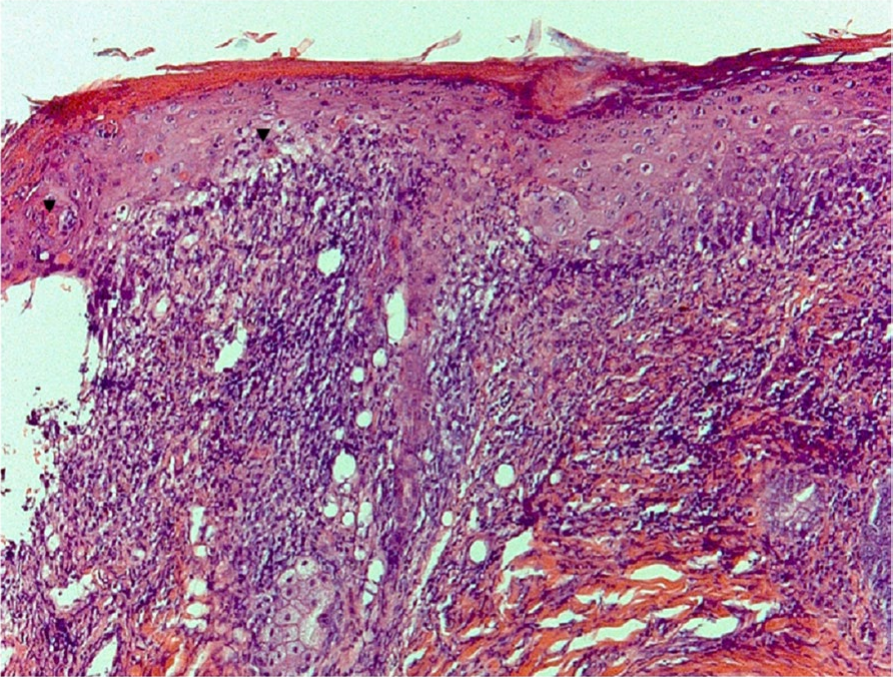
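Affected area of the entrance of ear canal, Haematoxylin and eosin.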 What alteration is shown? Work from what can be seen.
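Band-shaped of inflammatory infiltrates. A dense band of small dark purple nuclei fills the dermis just beneath the epidermis. The infiltrate blurs the boundary between epidermis and dermis.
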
